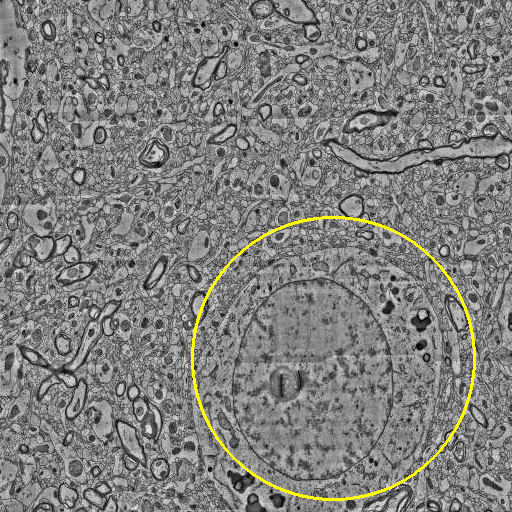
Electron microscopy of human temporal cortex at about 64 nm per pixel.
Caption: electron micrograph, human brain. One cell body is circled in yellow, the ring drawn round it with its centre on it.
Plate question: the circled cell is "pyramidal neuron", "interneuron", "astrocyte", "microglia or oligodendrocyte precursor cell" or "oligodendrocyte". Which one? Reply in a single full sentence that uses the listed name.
The yellow ring on the plate is centred on a pyramidal neuron, going by the listed names.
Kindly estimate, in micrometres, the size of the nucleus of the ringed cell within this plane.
The nucleus appears roughly 13 by 10 micrometres in this plane.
